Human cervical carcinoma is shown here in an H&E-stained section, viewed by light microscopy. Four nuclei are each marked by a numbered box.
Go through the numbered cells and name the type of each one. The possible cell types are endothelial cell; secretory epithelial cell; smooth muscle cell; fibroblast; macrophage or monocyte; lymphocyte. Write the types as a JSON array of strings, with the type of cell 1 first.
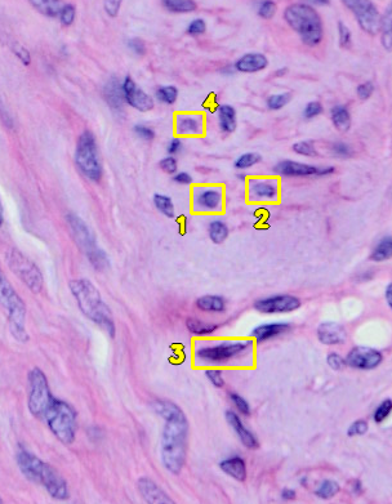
["smooth muscle cell", "smooth muscle cell", "endothelial cell", "smooth muscle cell"]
